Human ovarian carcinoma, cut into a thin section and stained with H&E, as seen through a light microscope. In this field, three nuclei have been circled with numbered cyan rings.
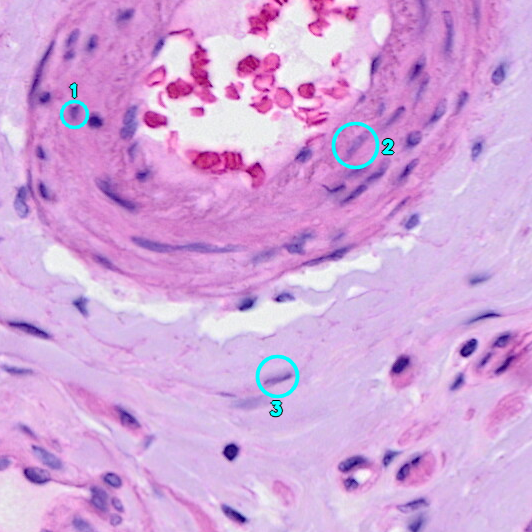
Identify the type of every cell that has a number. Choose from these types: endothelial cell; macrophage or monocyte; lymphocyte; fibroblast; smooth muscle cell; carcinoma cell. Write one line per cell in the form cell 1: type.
cell 1: smooth muscle cell
cell 2: smooth muscle cell
cell 3: fibroblast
